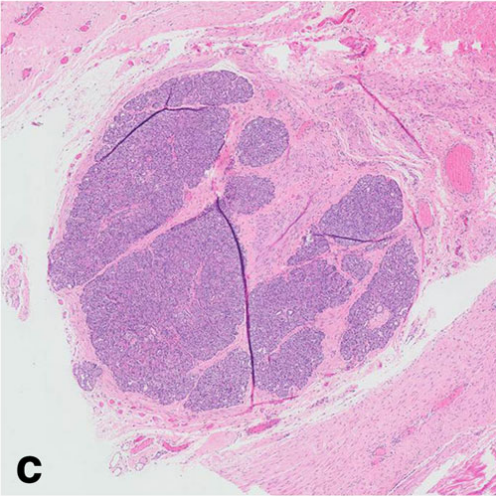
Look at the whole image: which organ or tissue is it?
Pancreatic tissue.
